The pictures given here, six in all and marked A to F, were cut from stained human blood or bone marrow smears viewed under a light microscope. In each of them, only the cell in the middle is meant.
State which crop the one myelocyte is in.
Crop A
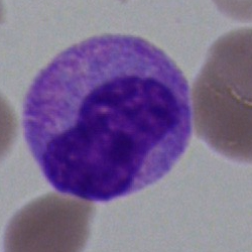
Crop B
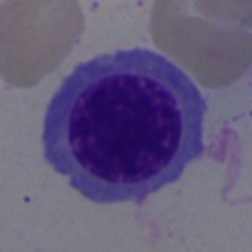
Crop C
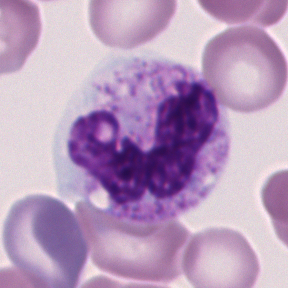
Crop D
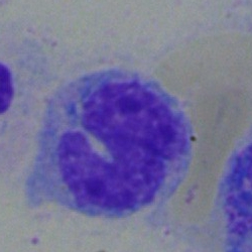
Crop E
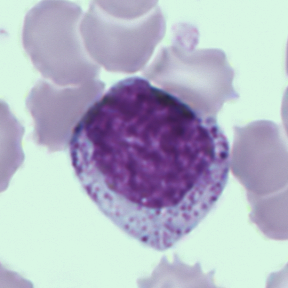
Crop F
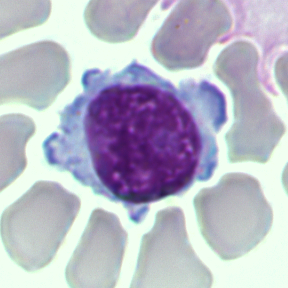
E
